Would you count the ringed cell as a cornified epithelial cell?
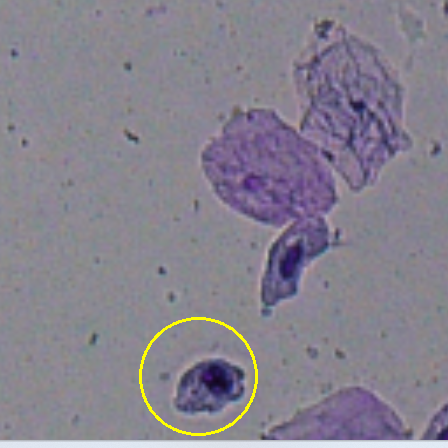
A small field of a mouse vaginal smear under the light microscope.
No, I would count it as a nucleated epithelial cell.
